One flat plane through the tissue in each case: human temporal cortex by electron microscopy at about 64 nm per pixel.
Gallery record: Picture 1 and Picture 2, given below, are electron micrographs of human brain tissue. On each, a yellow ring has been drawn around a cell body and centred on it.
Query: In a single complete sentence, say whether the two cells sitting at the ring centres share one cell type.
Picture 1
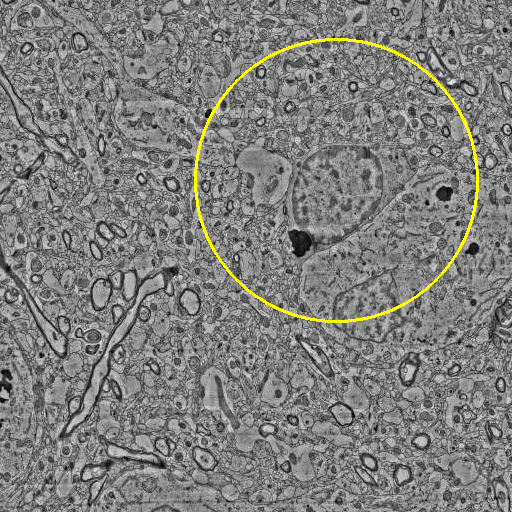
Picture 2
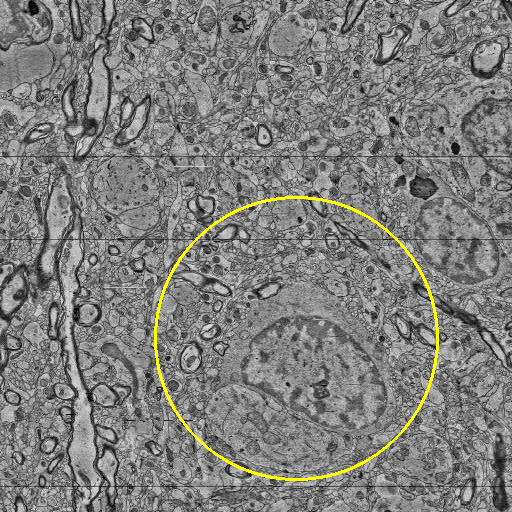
Yes, in both pictures the cell at the ring's centre is of one and the same type.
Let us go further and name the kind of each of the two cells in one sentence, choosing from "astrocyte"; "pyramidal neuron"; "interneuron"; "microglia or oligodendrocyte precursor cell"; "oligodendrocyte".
The second cell is an oligodendrocyte, just as the first is.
